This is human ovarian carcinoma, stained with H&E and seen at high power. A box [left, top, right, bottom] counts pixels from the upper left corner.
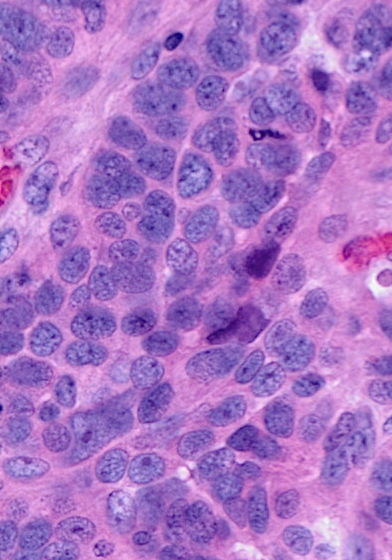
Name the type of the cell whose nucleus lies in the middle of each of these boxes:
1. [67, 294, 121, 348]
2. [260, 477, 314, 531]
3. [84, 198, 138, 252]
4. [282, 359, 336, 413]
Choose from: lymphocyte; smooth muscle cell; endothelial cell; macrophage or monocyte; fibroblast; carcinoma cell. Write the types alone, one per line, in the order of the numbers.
carcinoma cell
carcinoma cell
carcinoma cell
macrophage or monocyte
